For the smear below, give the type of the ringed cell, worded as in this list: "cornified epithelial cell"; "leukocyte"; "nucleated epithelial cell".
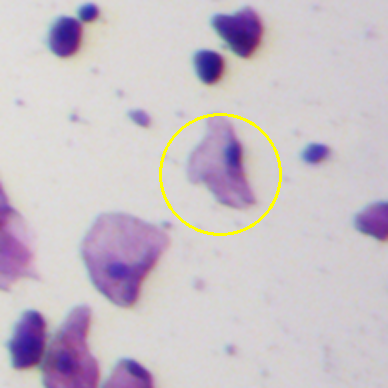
nucleated epithelial cell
